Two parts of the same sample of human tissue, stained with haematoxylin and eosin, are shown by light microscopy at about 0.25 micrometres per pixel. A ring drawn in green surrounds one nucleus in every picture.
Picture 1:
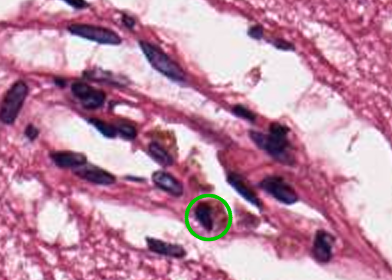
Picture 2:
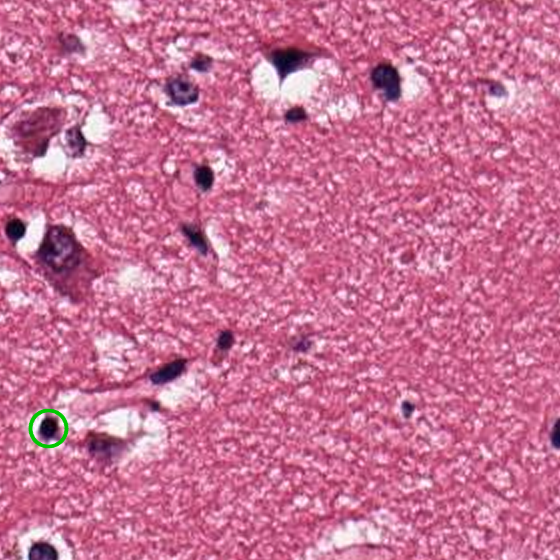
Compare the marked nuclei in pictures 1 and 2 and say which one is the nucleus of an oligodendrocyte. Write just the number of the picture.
2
